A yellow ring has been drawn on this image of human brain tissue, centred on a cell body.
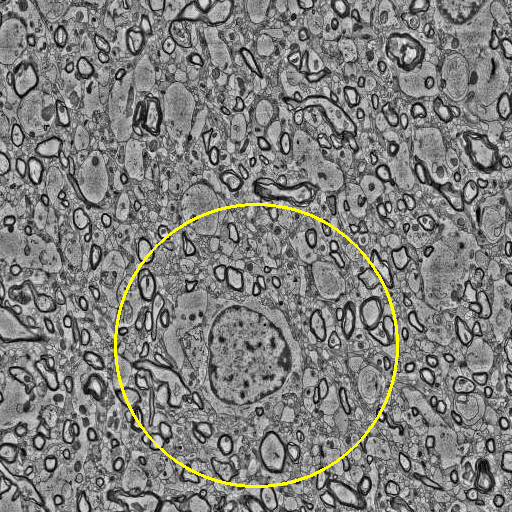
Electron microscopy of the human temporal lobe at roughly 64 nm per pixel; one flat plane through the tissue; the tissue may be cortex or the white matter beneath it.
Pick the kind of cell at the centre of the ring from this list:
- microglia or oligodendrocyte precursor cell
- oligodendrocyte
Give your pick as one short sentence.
The centre of the ring holds a microglial cell or oligodendrocyte precursor cell.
